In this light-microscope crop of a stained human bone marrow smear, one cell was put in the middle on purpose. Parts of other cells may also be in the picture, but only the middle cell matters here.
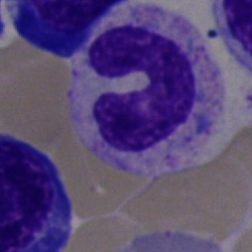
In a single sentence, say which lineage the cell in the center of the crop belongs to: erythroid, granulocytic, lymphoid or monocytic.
Here the cell at the center is of the granulocytic lineage.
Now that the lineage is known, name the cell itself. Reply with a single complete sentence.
The cell centered in this field of view is a band neutrophil.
